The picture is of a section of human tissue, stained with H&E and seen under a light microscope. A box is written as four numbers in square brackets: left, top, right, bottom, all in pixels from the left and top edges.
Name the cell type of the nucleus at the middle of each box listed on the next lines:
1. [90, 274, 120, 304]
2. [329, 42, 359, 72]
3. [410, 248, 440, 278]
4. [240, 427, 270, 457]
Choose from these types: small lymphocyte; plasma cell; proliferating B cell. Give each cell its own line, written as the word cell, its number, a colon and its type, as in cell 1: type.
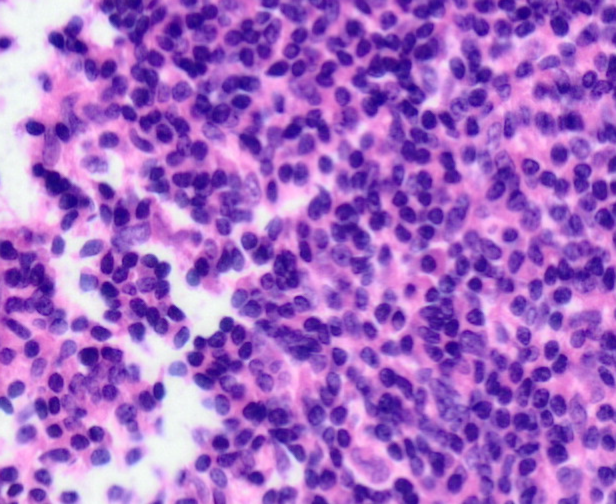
cell 1: small lymphocyte
cell 2: small lymphocyte
cell 3: plasma cell
cell 4: small lymphocyte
